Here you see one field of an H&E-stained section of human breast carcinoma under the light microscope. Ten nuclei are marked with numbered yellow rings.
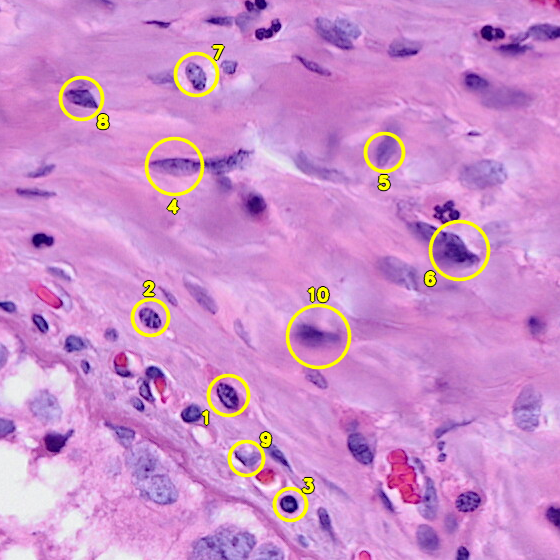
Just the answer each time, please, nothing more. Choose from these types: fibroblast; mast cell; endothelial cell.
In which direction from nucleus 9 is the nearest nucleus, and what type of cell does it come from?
a fibroblast to the right of nucleus 9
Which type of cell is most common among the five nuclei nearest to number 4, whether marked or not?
fibroblast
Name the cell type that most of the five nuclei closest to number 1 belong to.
endothelial cell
